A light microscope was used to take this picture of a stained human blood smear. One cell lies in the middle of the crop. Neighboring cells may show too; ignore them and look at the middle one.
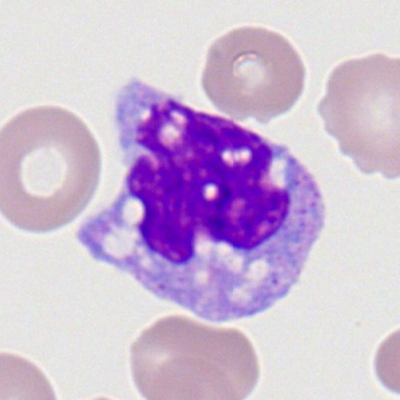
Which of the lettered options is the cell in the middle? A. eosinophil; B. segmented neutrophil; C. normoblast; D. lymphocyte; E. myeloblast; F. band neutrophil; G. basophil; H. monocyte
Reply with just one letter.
H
